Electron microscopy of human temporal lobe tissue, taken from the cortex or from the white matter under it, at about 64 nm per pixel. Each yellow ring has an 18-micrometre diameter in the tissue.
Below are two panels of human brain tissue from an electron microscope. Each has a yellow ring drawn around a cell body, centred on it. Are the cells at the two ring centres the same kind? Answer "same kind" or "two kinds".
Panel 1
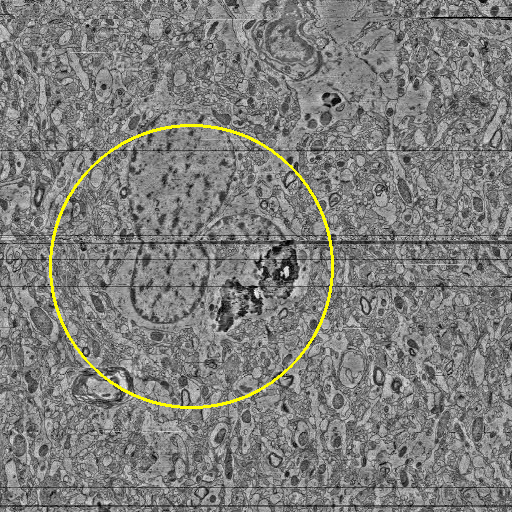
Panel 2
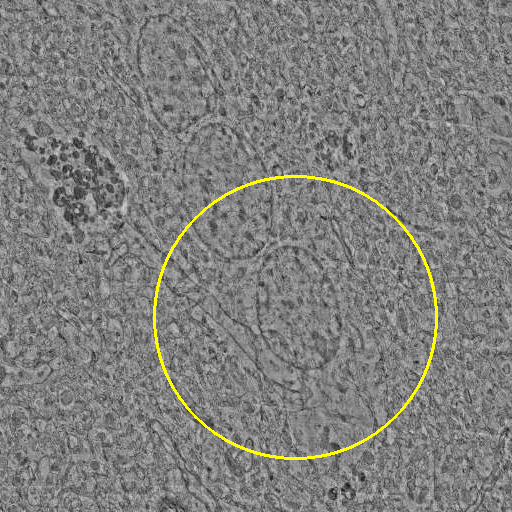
same kind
